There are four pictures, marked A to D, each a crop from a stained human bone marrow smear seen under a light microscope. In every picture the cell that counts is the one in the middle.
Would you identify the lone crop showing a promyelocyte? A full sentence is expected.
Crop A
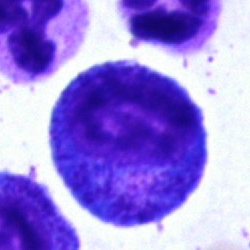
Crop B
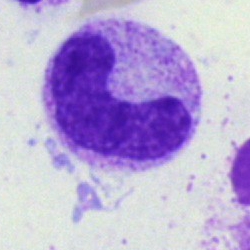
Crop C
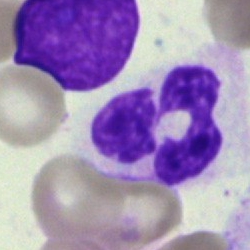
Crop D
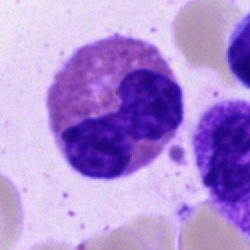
The correct choice is crop A, the one showing a promyelocyte.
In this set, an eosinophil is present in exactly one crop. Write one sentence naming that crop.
Crop D is the right one; it is the crop showing an eosinophil.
